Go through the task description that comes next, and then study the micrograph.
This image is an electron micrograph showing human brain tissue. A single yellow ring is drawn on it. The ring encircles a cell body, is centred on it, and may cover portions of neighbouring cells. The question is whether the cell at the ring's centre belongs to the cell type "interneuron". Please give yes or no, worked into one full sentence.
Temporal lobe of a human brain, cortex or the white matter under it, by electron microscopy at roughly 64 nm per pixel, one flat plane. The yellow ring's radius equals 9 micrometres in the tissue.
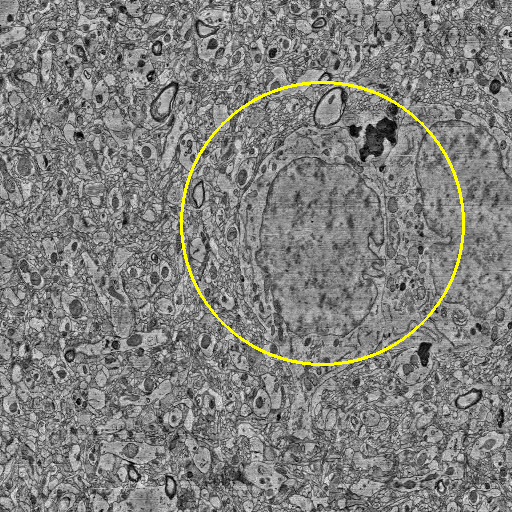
Yes, the cell that the ring is centred on in the micrograph is of this kind.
